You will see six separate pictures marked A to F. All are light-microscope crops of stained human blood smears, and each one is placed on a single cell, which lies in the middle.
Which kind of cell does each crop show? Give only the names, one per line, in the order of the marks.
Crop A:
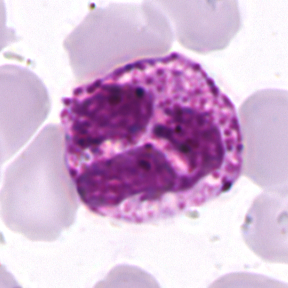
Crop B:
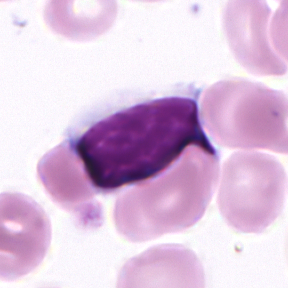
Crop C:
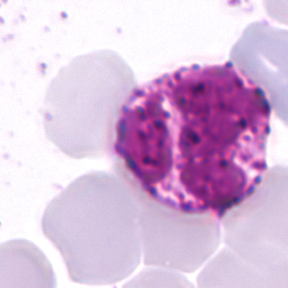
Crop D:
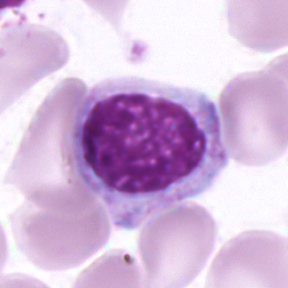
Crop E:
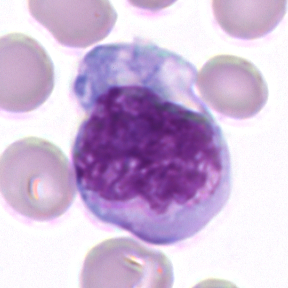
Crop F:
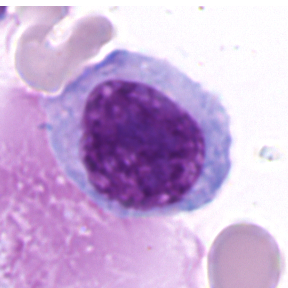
basophil
typical lymphocyte
basophil
metamyelocyte
plasma cell
plasma cell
